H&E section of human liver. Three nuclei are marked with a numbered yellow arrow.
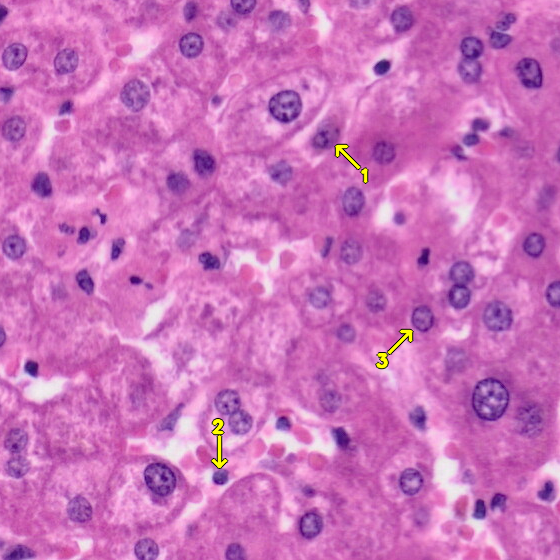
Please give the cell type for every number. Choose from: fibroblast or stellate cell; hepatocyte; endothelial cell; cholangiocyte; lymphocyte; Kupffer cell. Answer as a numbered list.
1. Kupffer cell
2. lymphocyte
3. hepatocyte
